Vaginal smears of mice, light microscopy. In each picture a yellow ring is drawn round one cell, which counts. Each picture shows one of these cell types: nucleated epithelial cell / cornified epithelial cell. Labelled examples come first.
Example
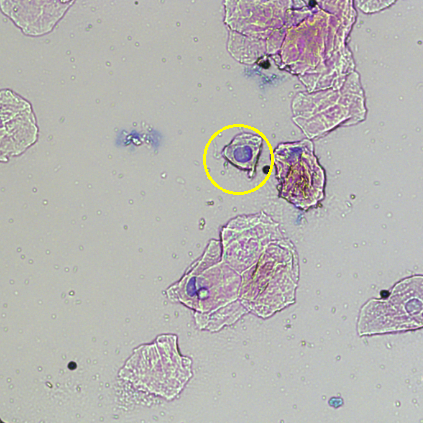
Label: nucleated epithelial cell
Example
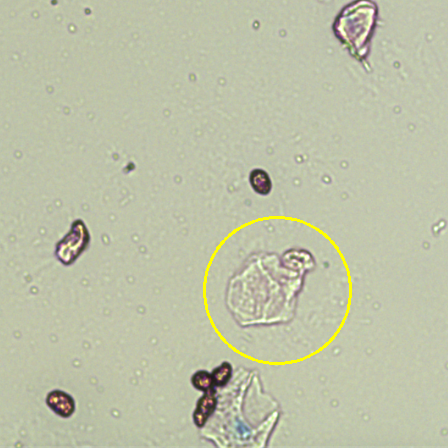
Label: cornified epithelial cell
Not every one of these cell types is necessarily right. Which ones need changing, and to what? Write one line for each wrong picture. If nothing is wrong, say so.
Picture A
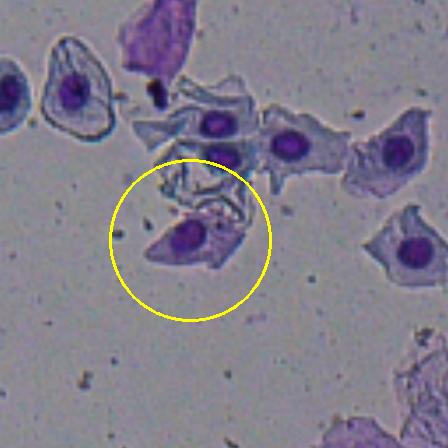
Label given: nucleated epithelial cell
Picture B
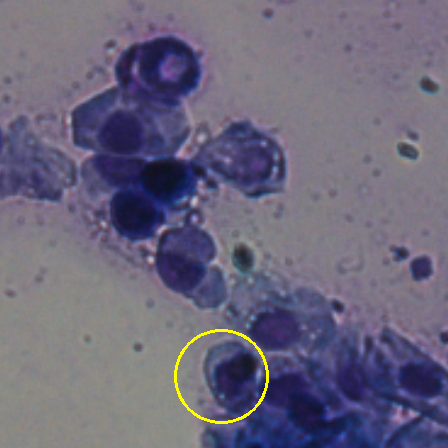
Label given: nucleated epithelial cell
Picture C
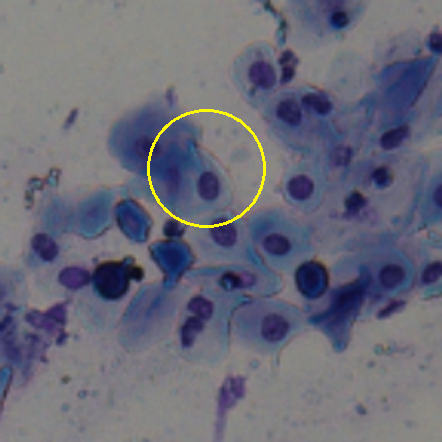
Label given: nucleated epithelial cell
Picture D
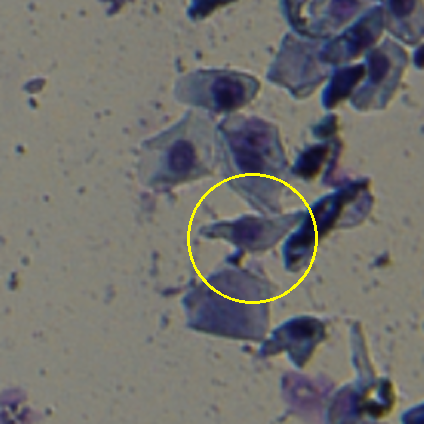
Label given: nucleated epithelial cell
All correct.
